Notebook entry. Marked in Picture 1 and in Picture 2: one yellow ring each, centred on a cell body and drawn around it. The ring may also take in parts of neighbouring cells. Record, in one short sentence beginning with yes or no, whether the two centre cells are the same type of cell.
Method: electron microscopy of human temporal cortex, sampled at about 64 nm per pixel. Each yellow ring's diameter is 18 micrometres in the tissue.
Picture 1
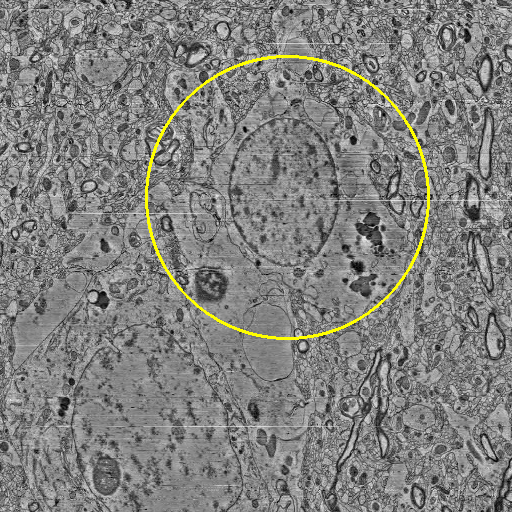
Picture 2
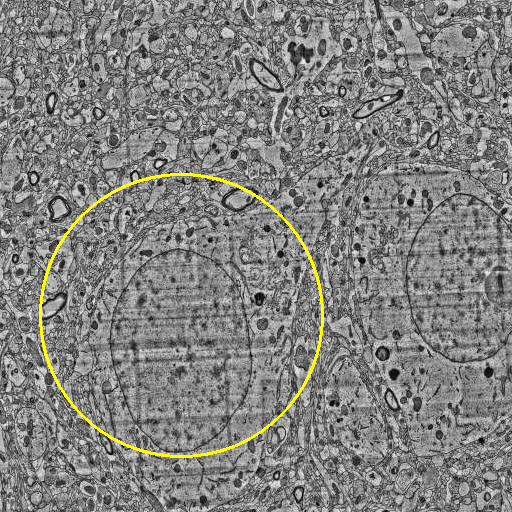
No, they are two types of cell.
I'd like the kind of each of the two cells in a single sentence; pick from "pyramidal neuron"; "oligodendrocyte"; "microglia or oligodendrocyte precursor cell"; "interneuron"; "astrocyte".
The first ring marks an astrocyte, and the second ring marks a pyramidal neuron.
